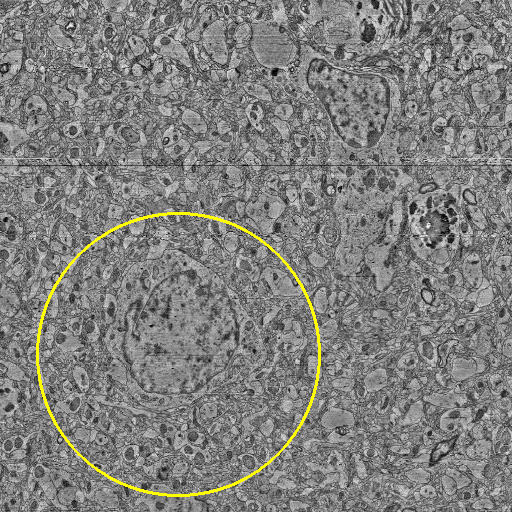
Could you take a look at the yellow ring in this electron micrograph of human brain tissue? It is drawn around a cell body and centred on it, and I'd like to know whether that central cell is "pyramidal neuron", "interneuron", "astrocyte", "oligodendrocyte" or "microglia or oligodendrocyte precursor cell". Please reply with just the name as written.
interneuron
